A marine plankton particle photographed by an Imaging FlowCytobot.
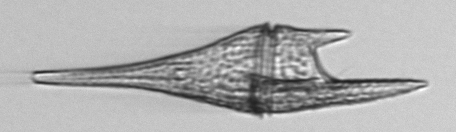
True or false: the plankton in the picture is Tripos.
True.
